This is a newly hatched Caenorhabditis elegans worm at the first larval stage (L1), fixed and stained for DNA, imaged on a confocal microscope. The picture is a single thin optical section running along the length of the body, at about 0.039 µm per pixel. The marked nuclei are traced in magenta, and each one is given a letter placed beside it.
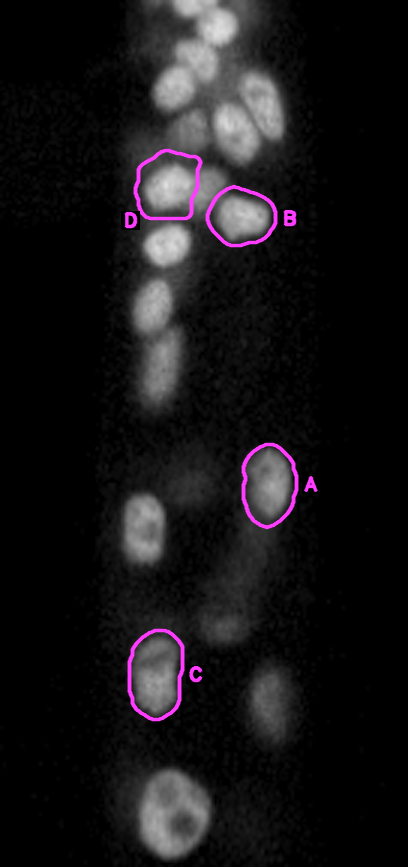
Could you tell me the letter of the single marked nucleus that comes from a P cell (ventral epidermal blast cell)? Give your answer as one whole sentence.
C is the one that belongs to a P cell (ventral epidermal blast cell).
